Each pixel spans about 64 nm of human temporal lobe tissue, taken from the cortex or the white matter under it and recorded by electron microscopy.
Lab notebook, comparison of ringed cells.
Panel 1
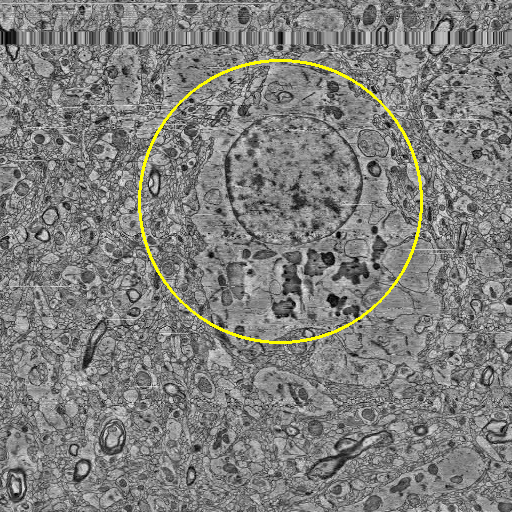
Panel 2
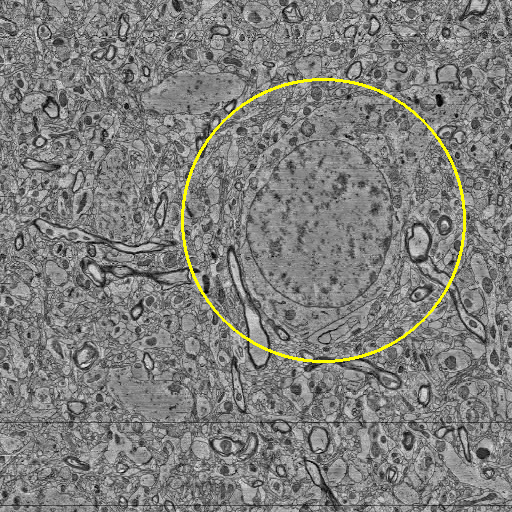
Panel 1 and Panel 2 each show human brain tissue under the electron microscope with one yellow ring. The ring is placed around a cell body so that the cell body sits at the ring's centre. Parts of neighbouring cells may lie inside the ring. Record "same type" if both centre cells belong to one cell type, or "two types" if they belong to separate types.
two types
